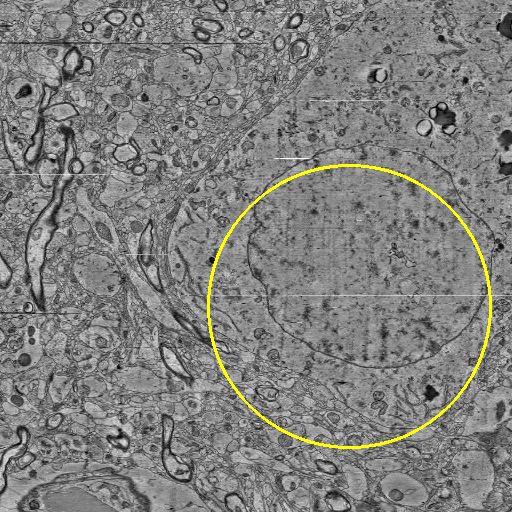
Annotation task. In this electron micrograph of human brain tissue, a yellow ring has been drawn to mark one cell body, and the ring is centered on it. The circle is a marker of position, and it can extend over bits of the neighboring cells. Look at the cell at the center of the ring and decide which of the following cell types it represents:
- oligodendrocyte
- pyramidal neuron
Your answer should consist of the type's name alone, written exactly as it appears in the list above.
pyramidal neuron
